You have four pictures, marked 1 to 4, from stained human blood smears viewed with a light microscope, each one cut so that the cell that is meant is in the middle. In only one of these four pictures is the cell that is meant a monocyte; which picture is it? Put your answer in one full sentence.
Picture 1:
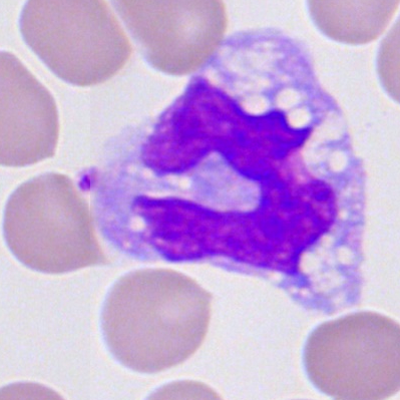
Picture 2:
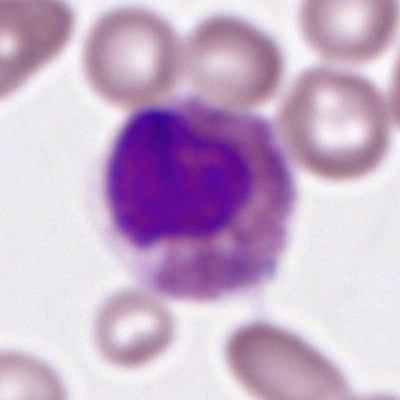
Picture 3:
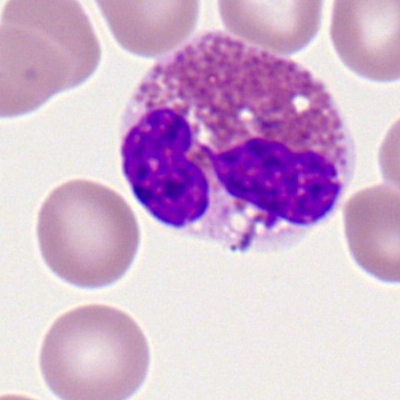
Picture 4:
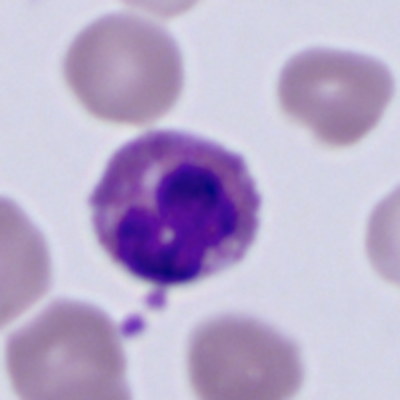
The cell in picture 1 is the monocyte.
